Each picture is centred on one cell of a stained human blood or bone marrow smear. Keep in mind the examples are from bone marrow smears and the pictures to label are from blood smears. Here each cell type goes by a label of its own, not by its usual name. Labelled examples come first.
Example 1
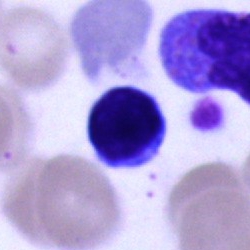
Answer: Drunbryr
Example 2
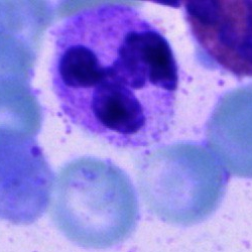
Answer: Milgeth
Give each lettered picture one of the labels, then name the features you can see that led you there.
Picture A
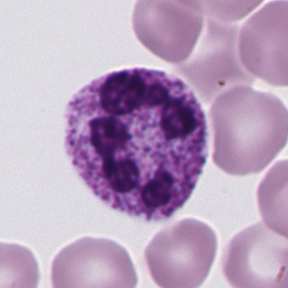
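Milgeth. Evidence: Numerous dark purple granules fill the cytoplasm.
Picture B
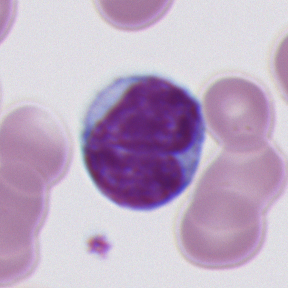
Drunbryr. Evidence: The cytoplasm is scant and forms a pale blue crescent mainly at the upper left of the cell.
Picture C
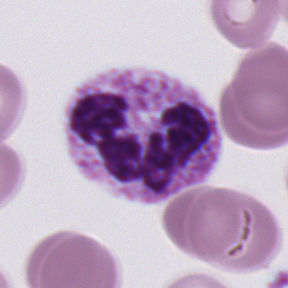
Milgeth. Evidence: The cytoplasm is abundant and pale pink.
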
